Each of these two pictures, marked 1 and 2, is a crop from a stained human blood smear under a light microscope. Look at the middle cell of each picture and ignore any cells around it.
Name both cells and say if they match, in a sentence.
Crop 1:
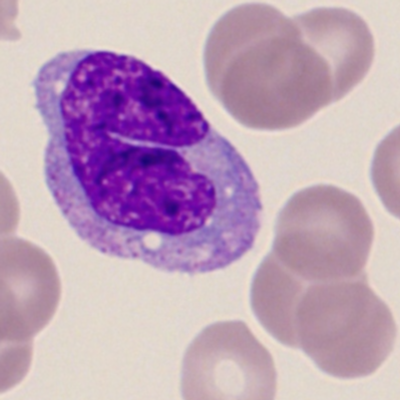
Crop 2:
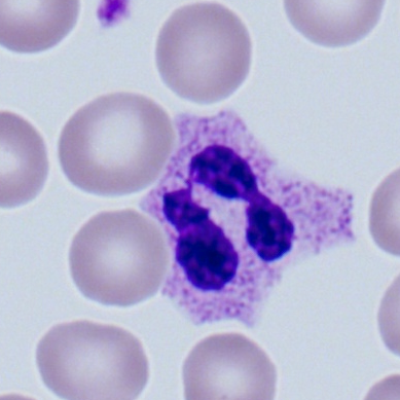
No, a monocyte is what crop 1 shows, and a segmented neutrophil is what crop 2 shows.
